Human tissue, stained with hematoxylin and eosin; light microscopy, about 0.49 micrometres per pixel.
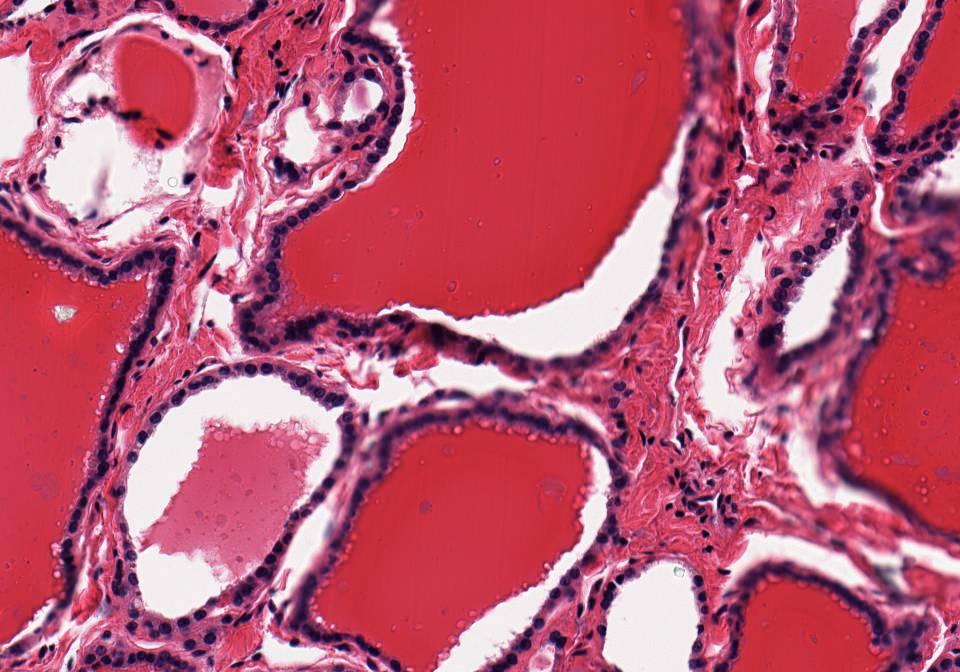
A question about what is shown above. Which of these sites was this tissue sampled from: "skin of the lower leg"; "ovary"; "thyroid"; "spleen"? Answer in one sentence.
The site this tissue was sampled from is the thyroid.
